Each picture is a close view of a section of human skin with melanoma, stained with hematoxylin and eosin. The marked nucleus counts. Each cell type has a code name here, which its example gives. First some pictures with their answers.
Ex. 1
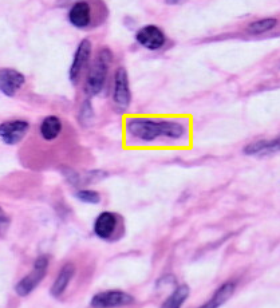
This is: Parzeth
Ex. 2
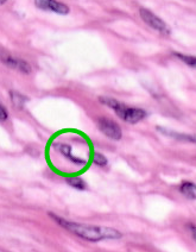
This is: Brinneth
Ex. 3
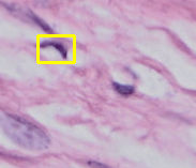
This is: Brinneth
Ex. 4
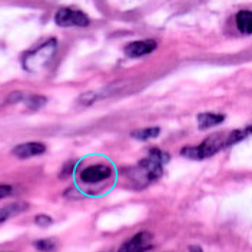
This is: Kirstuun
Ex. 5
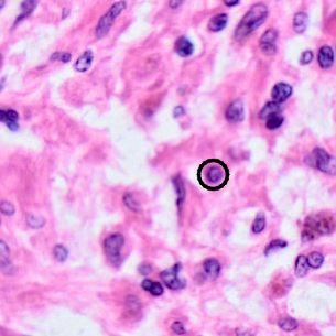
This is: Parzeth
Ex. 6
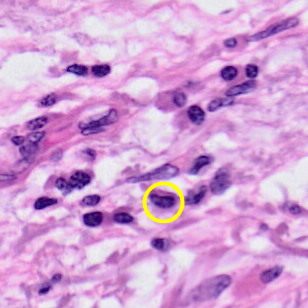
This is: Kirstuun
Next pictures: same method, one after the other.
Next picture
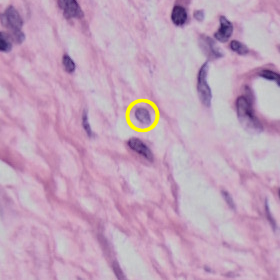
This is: Parzeth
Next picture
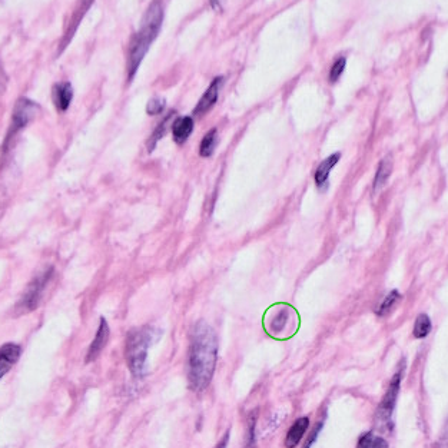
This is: Parzeth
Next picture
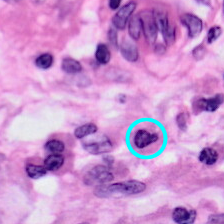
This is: Kirstuun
